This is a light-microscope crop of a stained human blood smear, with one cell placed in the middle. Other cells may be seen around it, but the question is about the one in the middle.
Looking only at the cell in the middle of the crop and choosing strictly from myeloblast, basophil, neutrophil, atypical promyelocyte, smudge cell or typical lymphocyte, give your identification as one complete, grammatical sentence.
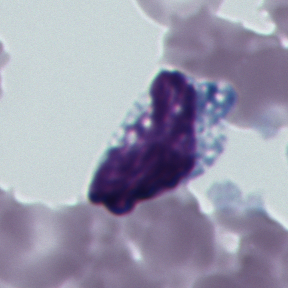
In the center of this field lies a typical lymphocyte.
